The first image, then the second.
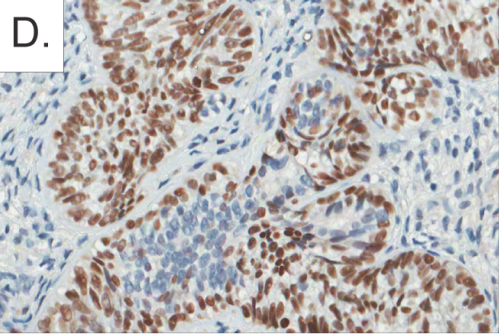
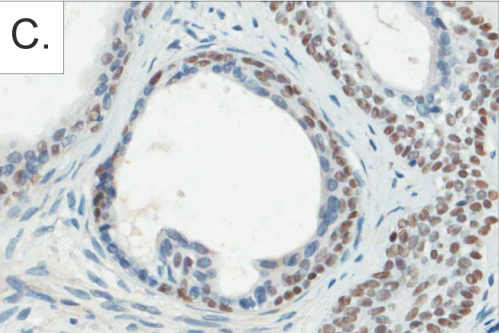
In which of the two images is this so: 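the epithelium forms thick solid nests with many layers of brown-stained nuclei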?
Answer: The first image.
